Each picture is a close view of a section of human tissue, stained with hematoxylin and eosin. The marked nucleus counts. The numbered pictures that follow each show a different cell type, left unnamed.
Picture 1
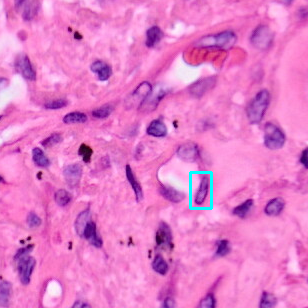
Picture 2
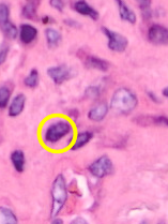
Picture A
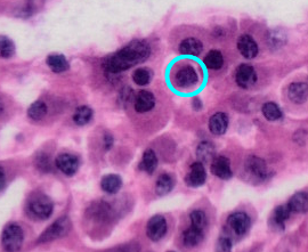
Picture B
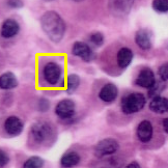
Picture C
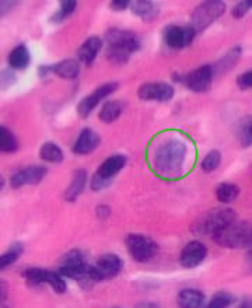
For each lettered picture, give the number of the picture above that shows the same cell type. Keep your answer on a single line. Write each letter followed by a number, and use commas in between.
A 2, B 2, C 1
